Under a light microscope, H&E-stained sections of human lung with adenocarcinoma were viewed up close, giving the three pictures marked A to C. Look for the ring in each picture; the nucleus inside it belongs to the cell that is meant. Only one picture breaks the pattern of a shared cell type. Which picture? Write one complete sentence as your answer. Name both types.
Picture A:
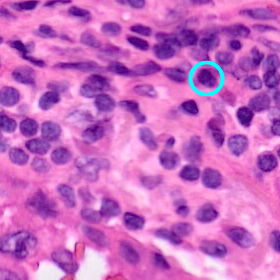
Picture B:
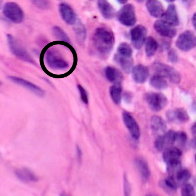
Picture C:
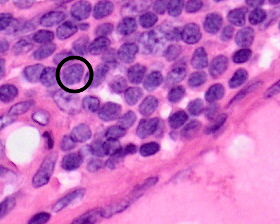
All pictures except C show plasma cells; picture C shows a lymphocyte.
